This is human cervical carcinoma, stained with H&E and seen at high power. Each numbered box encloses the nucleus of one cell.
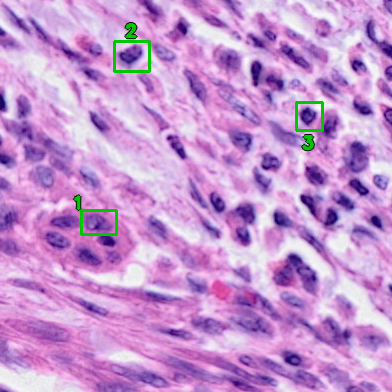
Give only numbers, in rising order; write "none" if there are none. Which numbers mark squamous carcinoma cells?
1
